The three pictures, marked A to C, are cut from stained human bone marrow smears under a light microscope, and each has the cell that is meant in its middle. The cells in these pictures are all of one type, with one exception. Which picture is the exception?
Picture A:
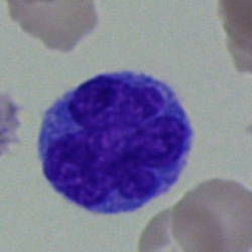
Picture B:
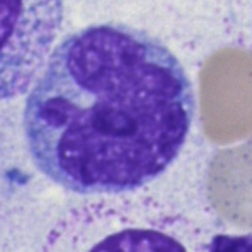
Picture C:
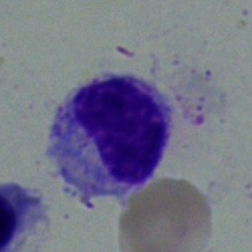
C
